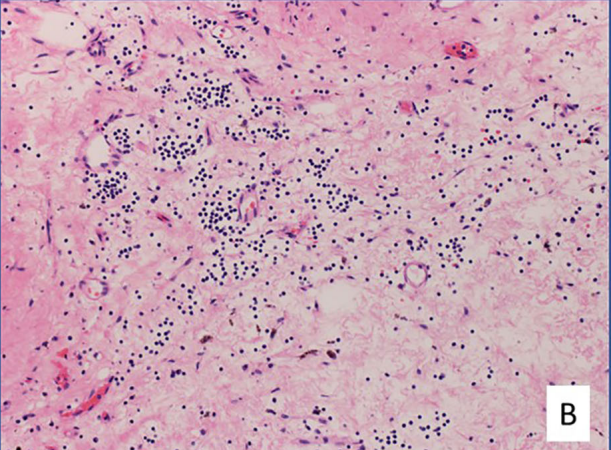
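This high-power view shows loose, pale pink fibrous stroma with scattered inflammatory cells and no tumor cells. Many small cells with round, dark purple nuclei lie scattered and in loose clusters, consistent with chronic inflammatory cells. A few cells hold coarse golden-brown pigment in their cytoplasm, the look of macrophages that have taken up iron pigment from old bleeding. Small thin-walled vessels cross the field.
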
